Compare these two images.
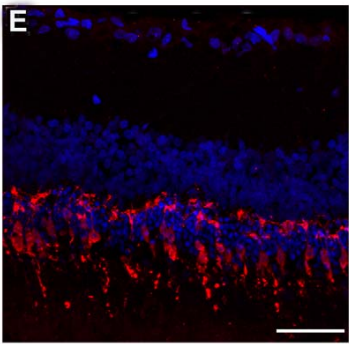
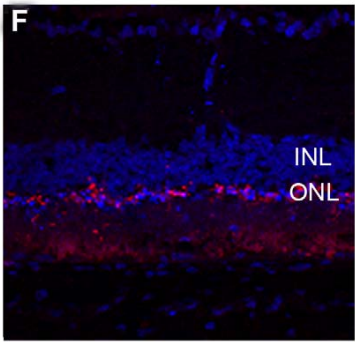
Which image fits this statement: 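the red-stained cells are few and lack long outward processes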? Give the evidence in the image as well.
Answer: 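The second image. Second image: only scattered small red dots along the thin outer nuclear row, with a faint diffuse red haze below it. First image: many bright red cells line the outer edge of the outer nuclear layer, with long red processes running outward.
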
